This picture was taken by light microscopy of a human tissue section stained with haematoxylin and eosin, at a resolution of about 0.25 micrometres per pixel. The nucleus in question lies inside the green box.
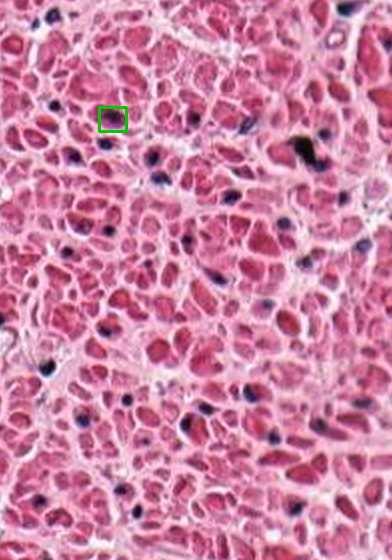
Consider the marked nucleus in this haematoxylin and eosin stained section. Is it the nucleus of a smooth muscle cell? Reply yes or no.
yes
